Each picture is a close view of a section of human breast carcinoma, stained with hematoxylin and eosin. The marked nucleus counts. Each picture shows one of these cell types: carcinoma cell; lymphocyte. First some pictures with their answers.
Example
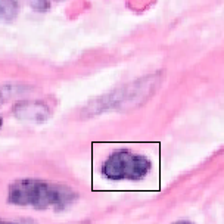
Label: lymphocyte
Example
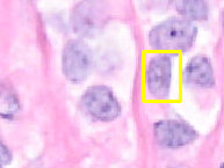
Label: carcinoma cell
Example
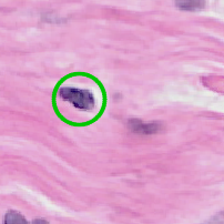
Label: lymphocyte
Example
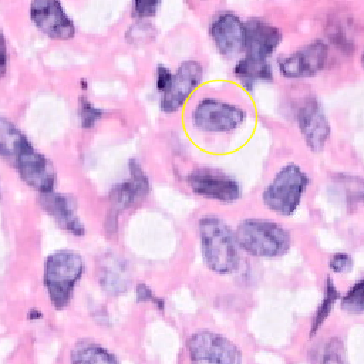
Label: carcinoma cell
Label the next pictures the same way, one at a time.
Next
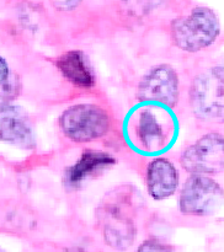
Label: carcinoma cell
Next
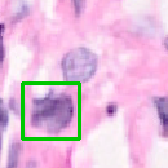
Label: carcinoma cell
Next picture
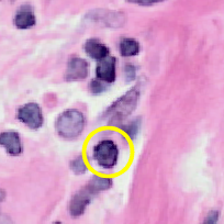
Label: lymphocyte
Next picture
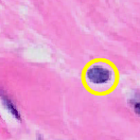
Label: lymphocyte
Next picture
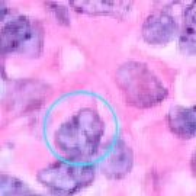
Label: carcinoma cell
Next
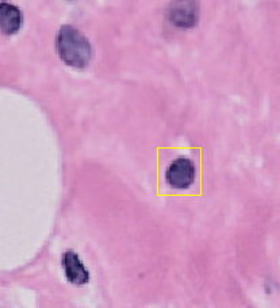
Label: lymphocyte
